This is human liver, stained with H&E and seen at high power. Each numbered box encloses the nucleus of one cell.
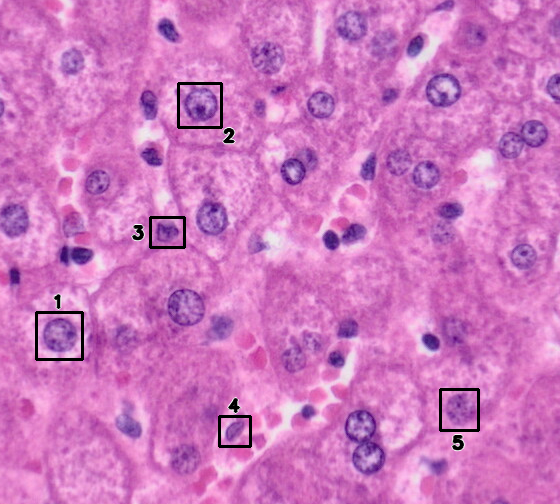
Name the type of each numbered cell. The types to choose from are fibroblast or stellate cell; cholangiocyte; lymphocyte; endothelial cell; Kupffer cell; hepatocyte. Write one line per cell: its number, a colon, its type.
1: hepatocyte
2: hepatocyte
3: endothelial cell
4: Kupffer cell
5: hepatocyte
